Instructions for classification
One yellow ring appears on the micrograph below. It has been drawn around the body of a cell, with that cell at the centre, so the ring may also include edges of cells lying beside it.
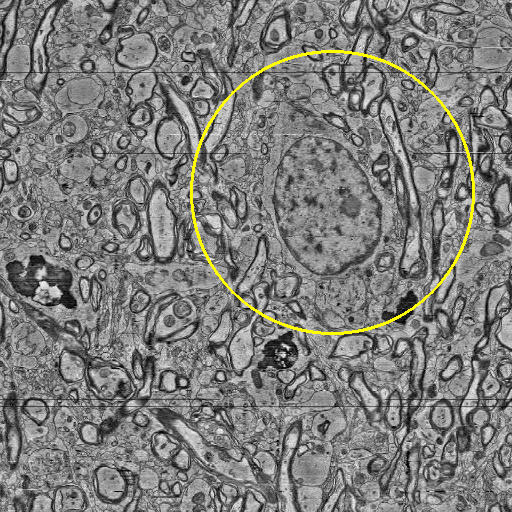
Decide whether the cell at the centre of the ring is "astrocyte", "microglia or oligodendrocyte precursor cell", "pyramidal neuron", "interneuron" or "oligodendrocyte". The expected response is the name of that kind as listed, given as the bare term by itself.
microglia or oligodendrocyte precursor cell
